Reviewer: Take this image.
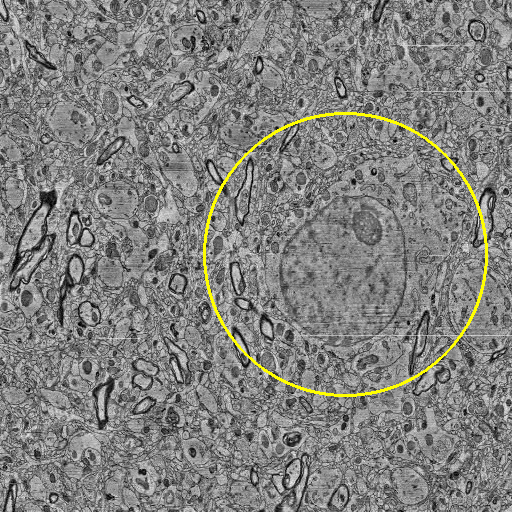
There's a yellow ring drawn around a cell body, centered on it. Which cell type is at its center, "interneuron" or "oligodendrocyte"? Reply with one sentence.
At the center of the yellow ring is an interneuron.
